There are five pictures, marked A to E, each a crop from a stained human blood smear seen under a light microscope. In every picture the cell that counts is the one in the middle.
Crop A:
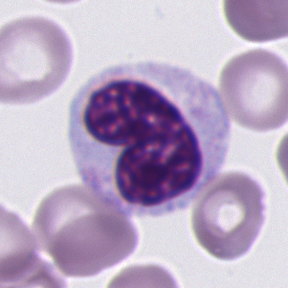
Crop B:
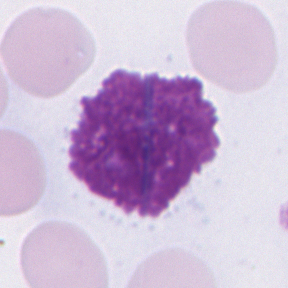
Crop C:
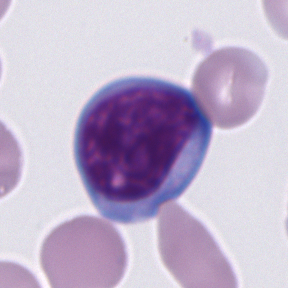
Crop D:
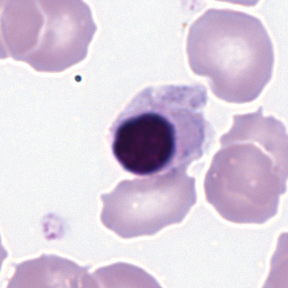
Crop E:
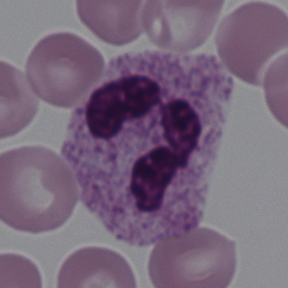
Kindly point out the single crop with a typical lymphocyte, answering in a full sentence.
Crop C is the crop that shows a typical lymphocyte in its middle.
